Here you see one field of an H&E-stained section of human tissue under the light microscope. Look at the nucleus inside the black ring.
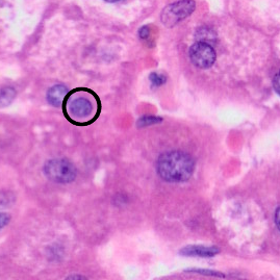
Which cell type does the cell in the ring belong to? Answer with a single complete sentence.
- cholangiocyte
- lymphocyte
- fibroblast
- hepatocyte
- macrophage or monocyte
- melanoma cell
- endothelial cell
It is a cholangiocyte that the cell in the ring represents.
